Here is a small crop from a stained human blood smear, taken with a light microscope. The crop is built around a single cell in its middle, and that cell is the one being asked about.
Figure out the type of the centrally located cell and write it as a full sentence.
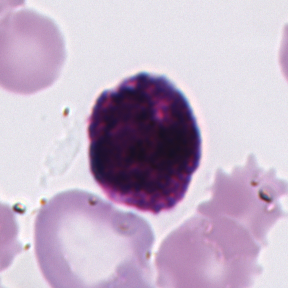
The cell in the middle of this crop is a basophil.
